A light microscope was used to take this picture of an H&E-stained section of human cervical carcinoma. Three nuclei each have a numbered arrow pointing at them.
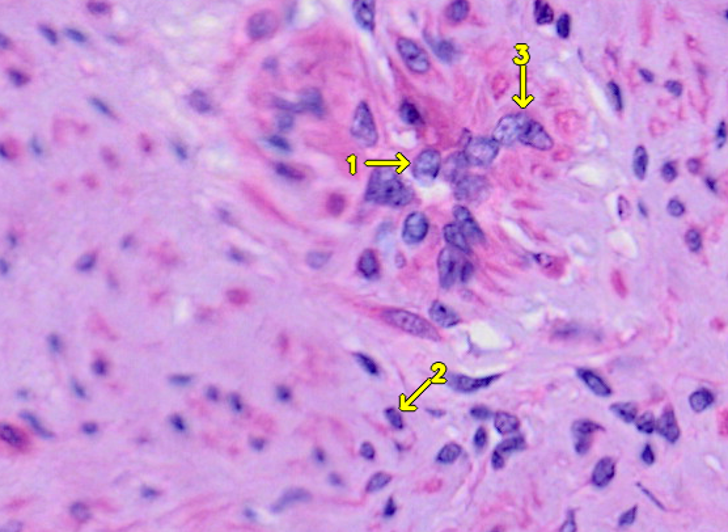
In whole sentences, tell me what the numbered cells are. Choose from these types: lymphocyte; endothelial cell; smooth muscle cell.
Cells 1 and 3 are endothelial cells. Cell 2 is a smooth muscle cell.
